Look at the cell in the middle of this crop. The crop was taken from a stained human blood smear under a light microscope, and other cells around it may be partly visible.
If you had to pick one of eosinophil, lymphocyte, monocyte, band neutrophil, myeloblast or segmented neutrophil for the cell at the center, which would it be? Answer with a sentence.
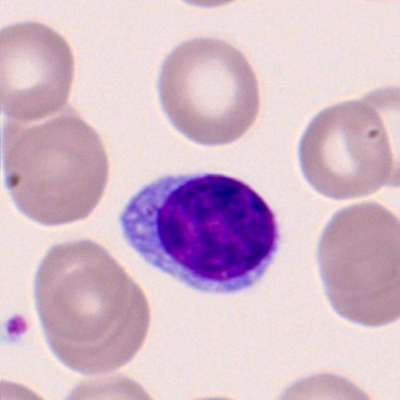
The cell of interest, in the center, is a lymphocyte.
